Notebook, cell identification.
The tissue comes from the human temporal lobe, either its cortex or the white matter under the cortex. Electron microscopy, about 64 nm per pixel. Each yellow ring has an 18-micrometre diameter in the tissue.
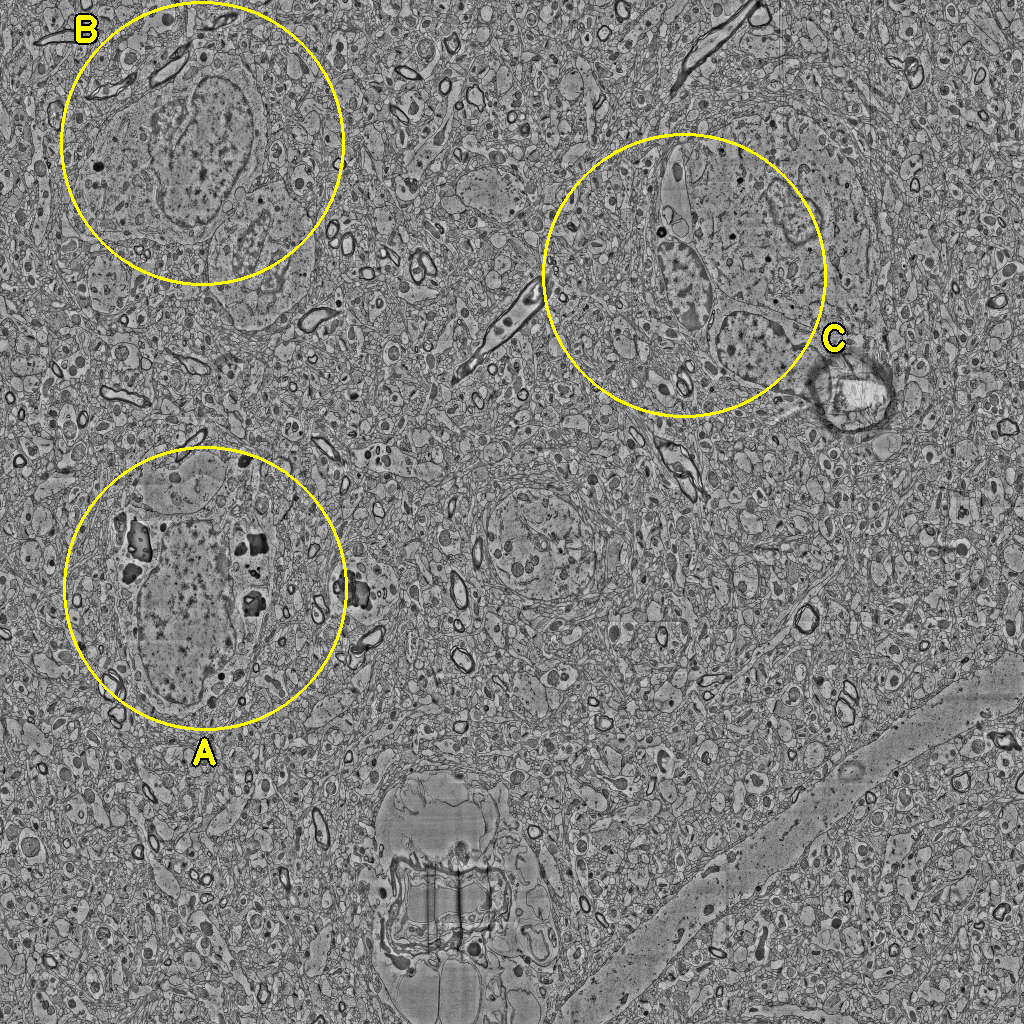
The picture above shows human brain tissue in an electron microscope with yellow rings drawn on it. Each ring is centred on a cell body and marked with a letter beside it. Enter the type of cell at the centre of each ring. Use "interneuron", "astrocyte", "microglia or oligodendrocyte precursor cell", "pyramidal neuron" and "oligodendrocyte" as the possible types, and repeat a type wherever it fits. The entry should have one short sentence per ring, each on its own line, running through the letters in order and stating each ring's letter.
The cell body in ring A belongs to an interneuron.
The cell body in ring B belongs to an interneuron.
The cell body in ring C belongs to a microglial cell or oligodendrocyte precursor cell.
